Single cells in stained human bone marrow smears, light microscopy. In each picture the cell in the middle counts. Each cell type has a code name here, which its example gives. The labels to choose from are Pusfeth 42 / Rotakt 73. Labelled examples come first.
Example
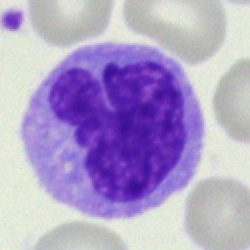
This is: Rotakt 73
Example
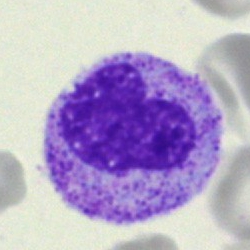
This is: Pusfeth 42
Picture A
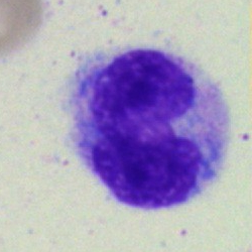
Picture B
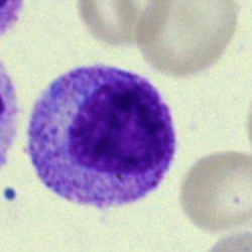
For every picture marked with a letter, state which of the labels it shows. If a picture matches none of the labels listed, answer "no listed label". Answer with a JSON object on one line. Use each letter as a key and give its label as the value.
{"A": "Rotakt 73", "B": "no listed label"}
